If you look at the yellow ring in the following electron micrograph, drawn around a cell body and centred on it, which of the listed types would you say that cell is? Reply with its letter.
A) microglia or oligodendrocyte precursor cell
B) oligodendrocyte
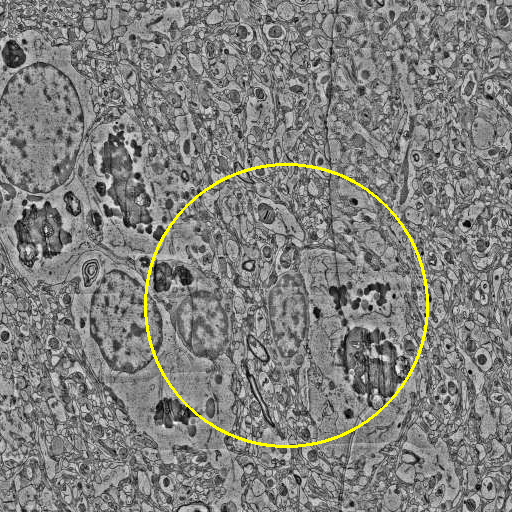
B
